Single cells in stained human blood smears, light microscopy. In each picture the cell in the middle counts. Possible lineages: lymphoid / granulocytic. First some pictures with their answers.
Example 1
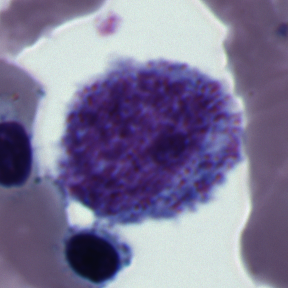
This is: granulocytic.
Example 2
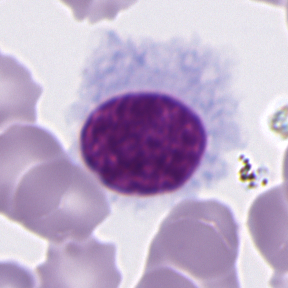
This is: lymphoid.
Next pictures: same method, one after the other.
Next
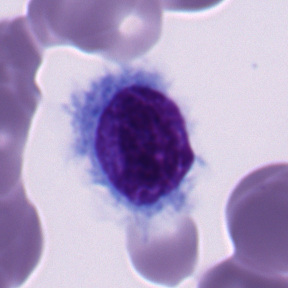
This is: lymphoid.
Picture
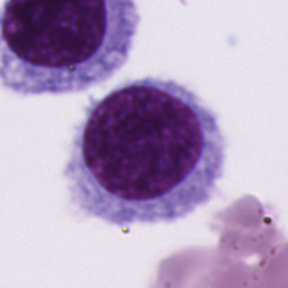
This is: lymphoid.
